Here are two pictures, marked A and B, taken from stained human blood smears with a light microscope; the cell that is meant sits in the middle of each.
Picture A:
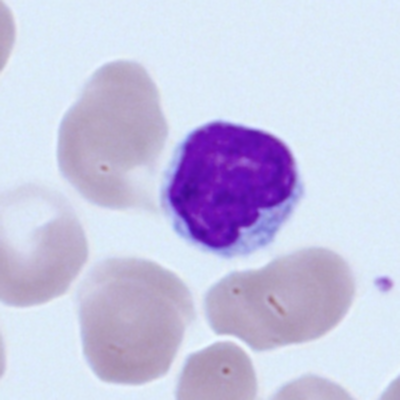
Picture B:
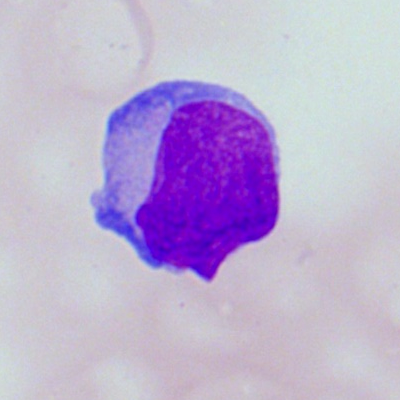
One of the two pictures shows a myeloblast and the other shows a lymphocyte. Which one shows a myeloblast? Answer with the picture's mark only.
B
